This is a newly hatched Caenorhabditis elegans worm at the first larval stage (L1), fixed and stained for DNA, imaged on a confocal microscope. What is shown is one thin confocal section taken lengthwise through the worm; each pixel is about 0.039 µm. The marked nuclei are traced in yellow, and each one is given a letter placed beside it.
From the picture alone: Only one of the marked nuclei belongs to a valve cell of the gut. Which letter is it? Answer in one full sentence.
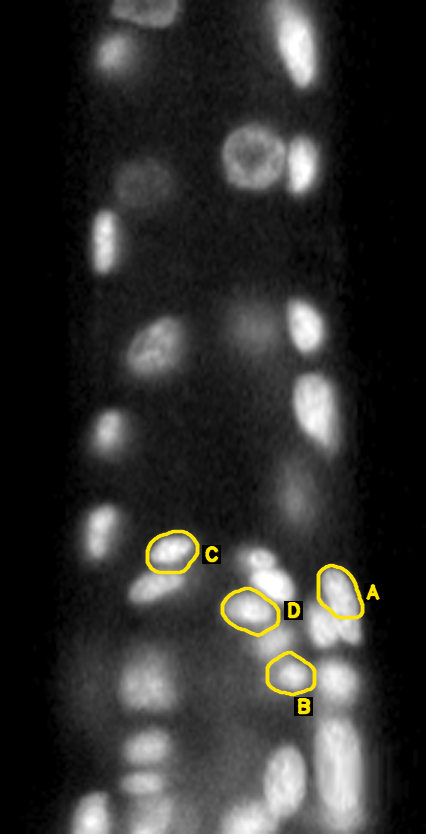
The one from a valve cell of the gut is C.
